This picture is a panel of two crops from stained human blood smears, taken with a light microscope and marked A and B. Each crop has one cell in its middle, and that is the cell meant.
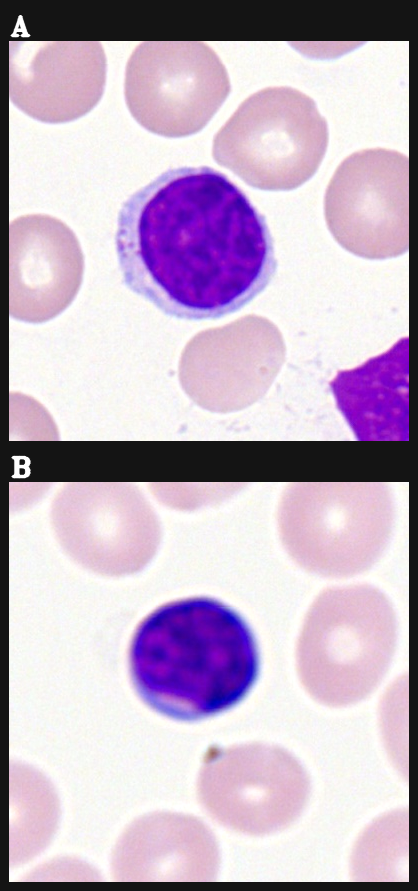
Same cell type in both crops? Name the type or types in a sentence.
Yes, the central cells, in both crops, are lymphocytes.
